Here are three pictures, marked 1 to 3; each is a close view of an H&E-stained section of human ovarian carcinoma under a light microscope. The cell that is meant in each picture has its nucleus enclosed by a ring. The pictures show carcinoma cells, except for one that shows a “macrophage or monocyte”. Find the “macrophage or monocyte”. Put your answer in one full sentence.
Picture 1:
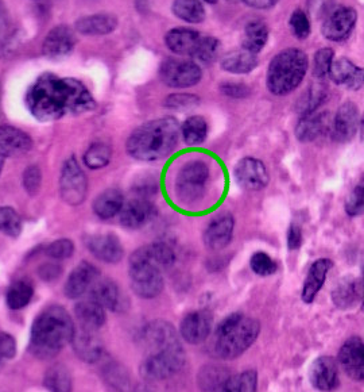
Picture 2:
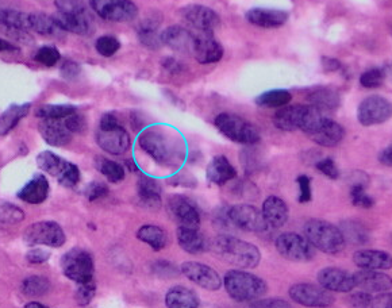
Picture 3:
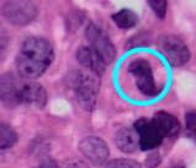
The cell in picture 3 is the “macrophage or monocyte”.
